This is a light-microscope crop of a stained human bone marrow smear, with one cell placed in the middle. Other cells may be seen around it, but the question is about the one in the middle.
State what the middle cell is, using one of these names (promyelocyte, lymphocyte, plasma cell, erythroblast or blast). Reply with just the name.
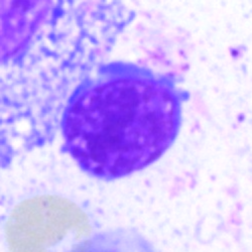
lymphocyte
